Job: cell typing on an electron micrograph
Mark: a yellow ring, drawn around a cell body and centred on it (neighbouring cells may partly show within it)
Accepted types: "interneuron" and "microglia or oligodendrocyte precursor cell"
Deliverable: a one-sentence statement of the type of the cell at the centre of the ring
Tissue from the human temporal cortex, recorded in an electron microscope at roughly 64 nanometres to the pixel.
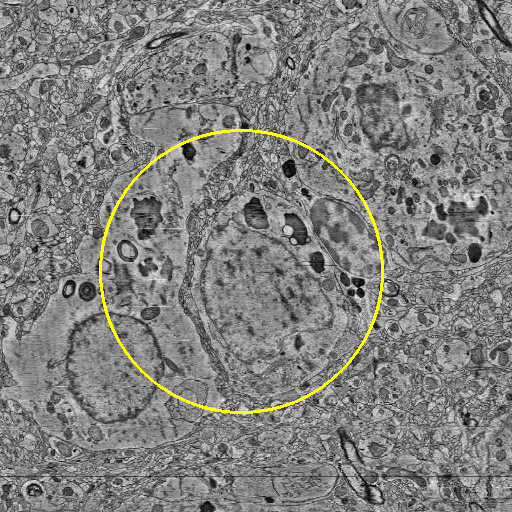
The centred cell body is that of an interneuron.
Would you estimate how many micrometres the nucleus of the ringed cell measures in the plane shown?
Roughly 10 by 8 micrometres is the size of the nucleus in this plane.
